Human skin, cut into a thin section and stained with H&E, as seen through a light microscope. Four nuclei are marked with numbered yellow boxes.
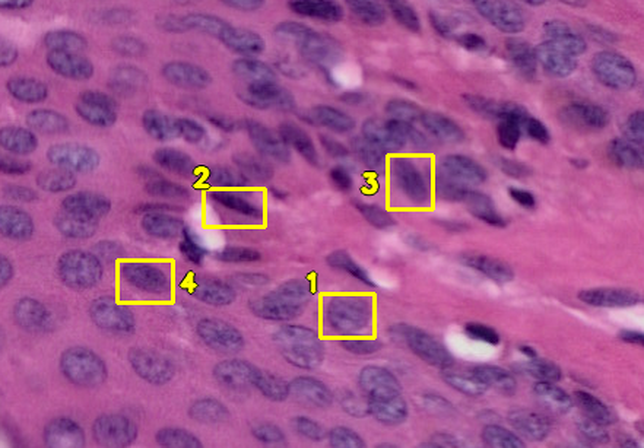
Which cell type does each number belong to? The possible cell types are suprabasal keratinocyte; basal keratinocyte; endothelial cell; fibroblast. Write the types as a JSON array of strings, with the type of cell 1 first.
["basal keratinocyte", "basal keratinocyte", "basal keratinocyte", "suprabasal keratinocyte"]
